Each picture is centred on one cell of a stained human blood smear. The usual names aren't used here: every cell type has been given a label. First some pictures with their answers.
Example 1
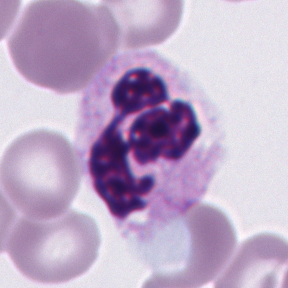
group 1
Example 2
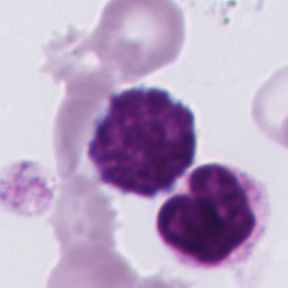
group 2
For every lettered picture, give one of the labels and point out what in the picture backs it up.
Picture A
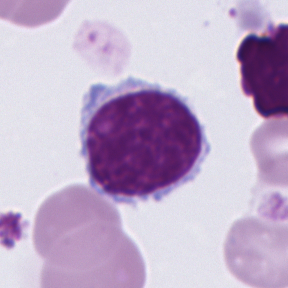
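group 2. Evidence: The cytoplasm forms only a narrow rim around the nucleus.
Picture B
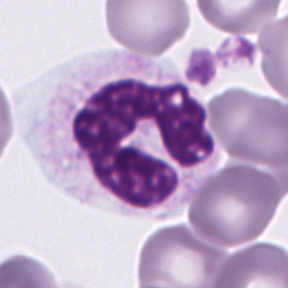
group 1. Evidence: The cytoplasm is plentiful and very pale.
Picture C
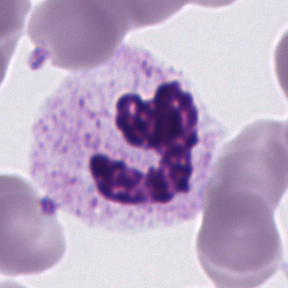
group 1. Evidence: The cytoplasm is abundant and pale lilac-pink.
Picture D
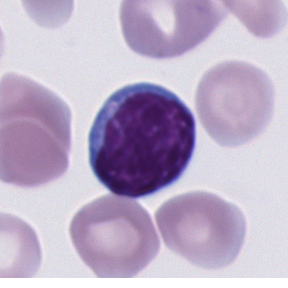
group 2. Evidence: The cytoplasm forms a thin crescent mainly along the left side of the cell.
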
